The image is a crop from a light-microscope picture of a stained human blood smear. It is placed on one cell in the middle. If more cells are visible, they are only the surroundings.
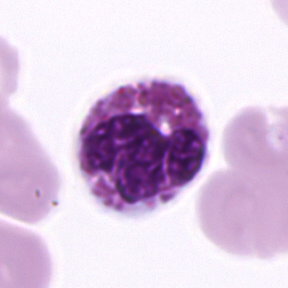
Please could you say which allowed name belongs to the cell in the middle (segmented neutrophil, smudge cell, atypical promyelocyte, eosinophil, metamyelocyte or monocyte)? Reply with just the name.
eosinophil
